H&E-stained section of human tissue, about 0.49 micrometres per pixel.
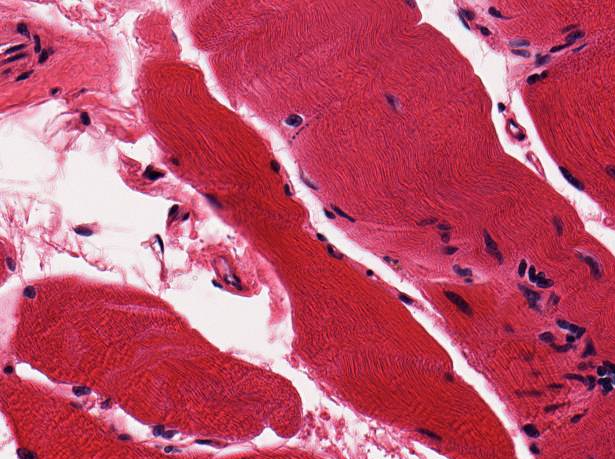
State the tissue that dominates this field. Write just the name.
skeletal muscle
